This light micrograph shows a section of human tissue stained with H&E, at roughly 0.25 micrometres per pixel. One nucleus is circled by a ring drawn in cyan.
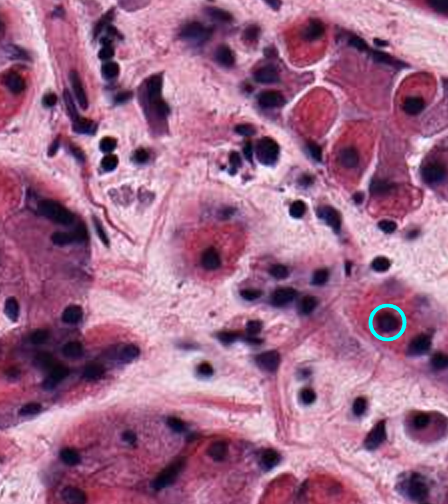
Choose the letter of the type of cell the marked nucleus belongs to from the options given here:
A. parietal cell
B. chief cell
A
